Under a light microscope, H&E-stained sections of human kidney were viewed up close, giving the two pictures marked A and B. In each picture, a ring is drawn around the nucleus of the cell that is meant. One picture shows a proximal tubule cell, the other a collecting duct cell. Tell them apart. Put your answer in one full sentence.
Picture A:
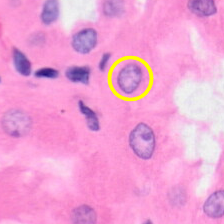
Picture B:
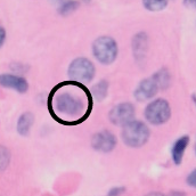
Picture A shows a proximal tubule cell and picture B shows a collecting duct cell.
